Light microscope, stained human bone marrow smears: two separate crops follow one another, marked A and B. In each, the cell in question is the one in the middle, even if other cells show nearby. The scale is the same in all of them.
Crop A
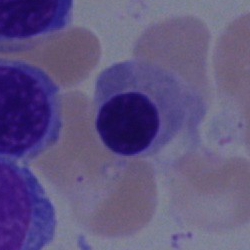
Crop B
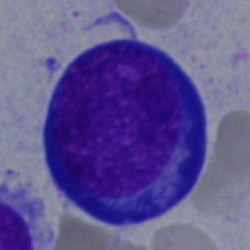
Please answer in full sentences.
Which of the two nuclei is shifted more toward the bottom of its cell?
Seen within its cell, the nucleus in crop A lies further toward the bottom.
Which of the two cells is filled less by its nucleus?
In crop A the nucleus takes up the smaller part of its cell.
